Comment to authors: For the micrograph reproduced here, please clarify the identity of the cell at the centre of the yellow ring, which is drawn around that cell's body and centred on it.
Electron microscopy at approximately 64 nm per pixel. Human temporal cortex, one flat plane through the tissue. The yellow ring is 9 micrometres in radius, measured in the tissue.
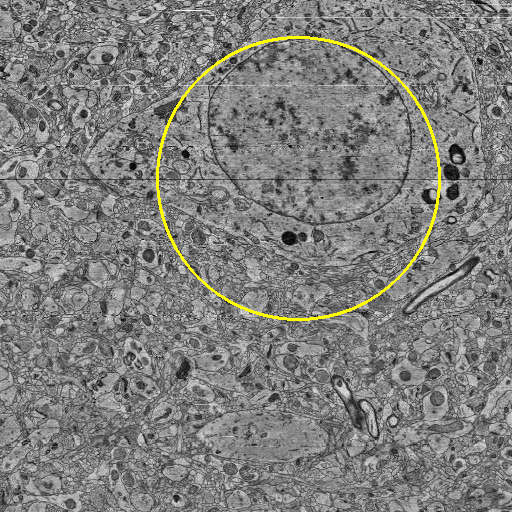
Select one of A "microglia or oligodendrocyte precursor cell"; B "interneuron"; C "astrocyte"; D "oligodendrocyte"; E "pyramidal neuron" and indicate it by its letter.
E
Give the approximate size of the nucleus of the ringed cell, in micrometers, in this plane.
In this plane the nucleus spans approximately 14 by 12 micrometers.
